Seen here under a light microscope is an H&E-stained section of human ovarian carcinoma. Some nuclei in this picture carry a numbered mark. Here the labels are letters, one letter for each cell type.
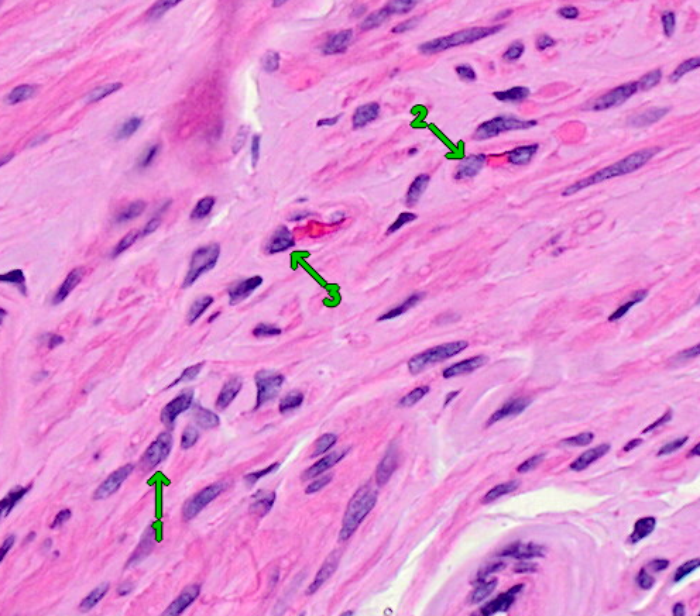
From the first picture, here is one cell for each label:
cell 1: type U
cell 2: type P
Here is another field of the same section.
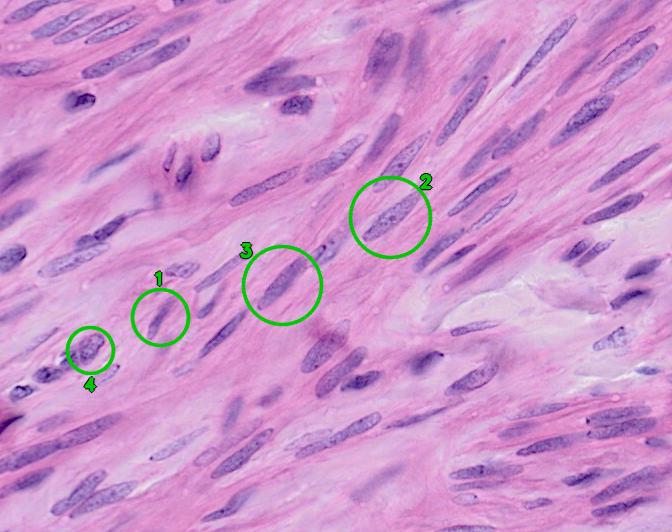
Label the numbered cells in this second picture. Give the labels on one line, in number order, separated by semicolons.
type U; type U; type U; type P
